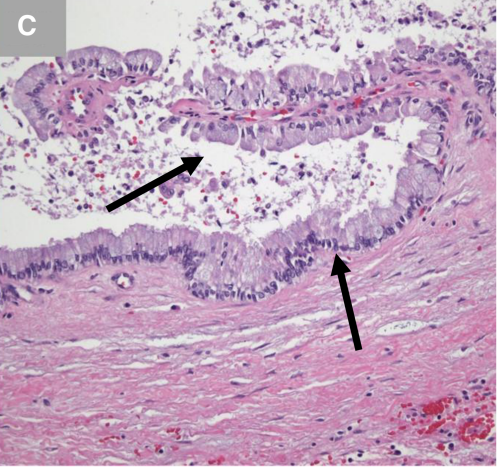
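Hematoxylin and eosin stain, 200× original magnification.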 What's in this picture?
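The lining is a single layer of tall columnar cells with pale, clear-to-lightly stained apical cytoplasm. The epithelium folds over thin fibrovascular cores into small papillary projections. Below lies pink, fairly dense fibrous stroma with scattered elongated nuclei and some red blood cells, and the lumen holds loose debris and scattered cells.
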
